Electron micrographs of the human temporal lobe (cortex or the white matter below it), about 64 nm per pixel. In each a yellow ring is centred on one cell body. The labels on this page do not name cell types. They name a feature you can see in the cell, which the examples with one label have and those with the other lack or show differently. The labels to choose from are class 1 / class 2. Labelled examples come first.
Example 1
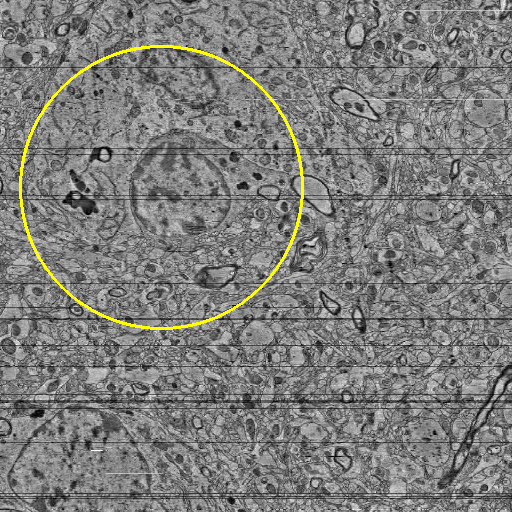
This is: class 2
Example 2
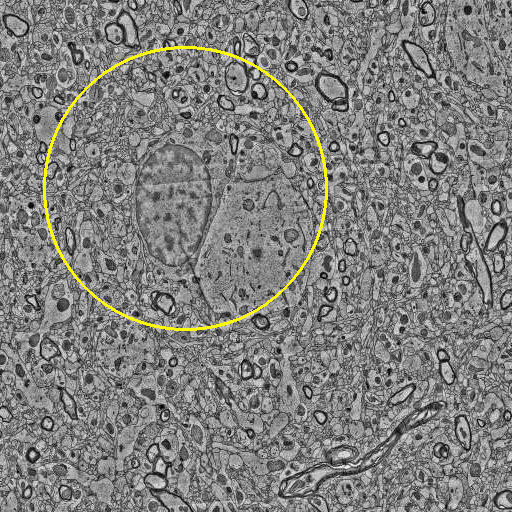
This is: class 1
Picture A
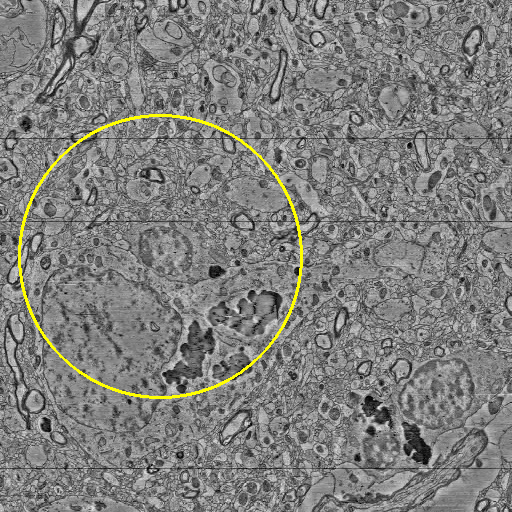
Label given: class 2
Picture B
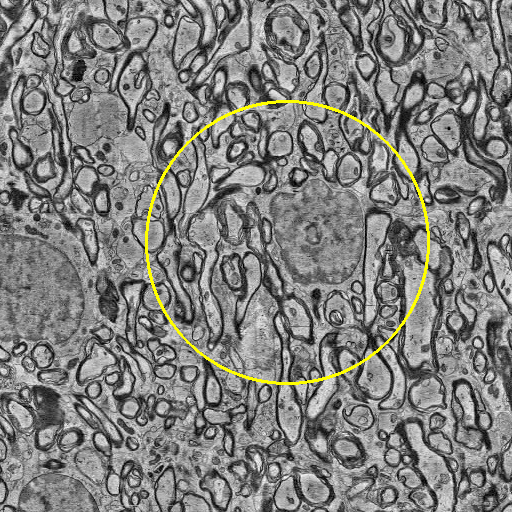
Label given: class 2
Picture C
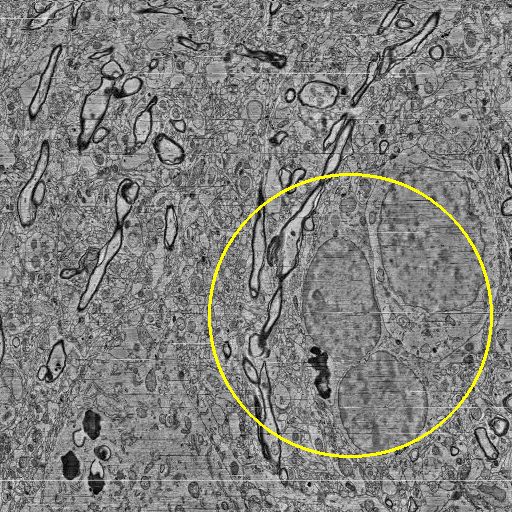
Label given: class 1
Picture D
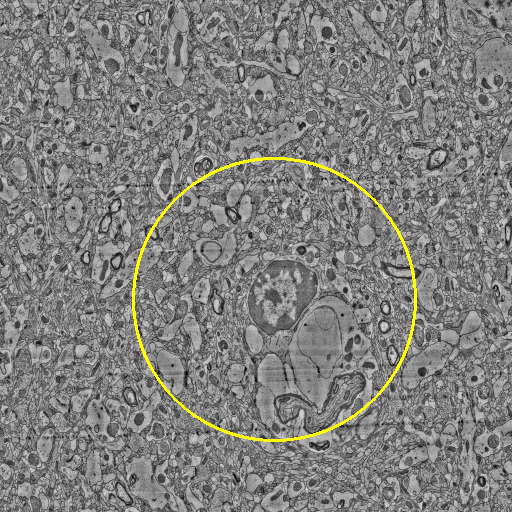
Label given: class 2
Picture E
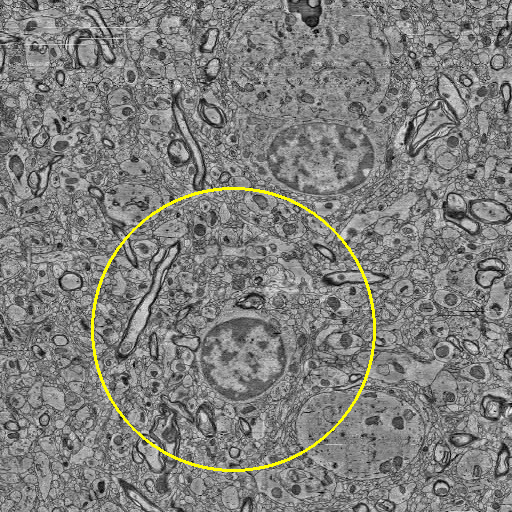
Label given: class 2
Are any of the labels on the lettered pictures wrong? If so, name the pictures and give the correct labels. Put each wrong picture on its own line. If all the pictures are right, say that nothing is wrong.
None of the labels needs changing.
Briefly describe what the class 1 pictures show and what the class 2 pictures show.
class 1, clearly elongated nuclei; class 2, round or nearly round nuclei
